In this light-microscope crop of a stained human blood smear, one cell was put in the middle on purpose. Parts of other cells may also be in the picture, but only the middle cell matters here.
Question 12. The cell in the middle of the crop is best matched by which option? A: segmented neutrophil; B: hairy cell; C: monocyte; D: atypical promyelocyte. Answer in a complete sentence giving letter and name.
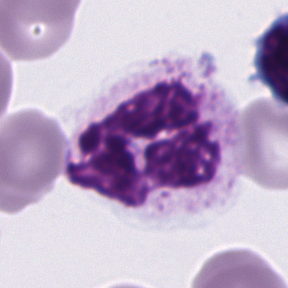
Option A is the correct selection, for the cell at the centre is a segmented neutrophil.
